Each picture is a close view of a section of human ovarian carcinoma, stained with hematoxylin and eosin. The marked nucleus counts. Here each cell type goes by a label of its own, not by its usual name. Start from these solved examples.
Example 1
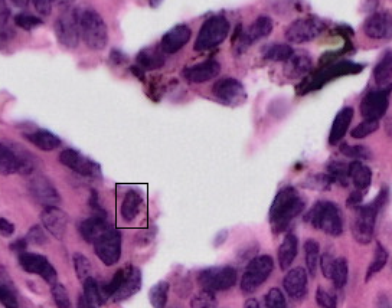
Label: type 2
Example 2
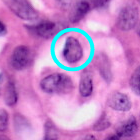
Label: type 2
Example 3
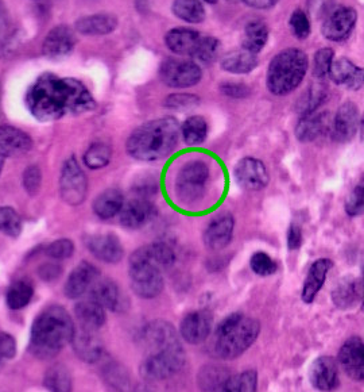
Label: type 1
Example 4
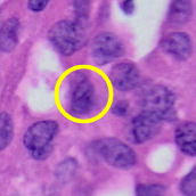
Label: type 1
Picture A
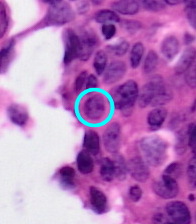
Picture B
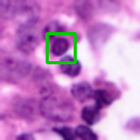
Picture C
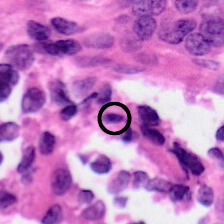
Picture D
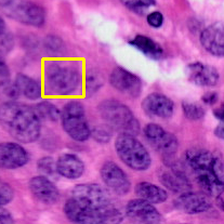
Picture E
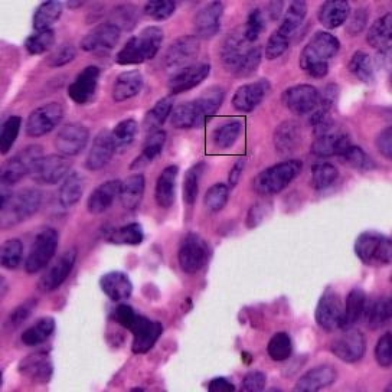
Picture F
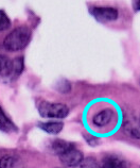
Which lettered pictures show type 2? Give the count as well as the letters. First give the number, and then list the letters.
Count: 3 (C, E, F)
